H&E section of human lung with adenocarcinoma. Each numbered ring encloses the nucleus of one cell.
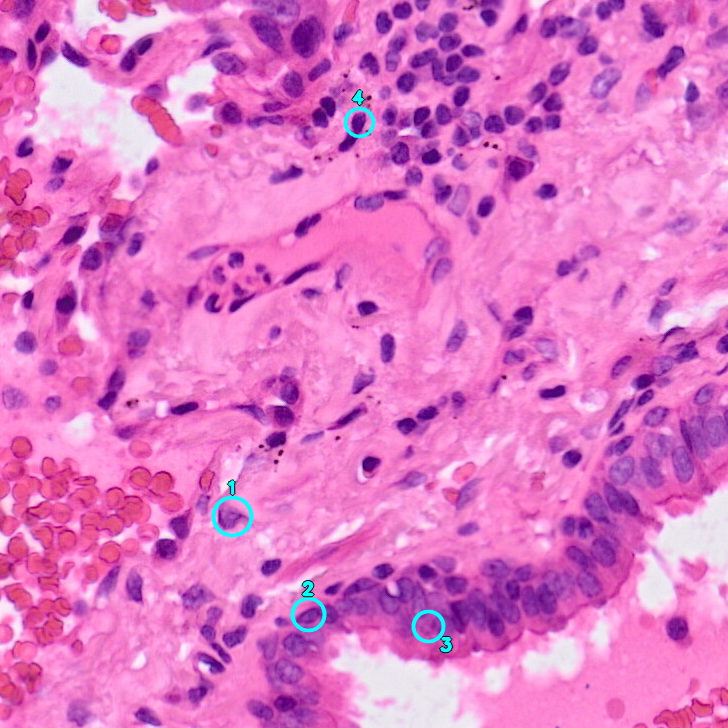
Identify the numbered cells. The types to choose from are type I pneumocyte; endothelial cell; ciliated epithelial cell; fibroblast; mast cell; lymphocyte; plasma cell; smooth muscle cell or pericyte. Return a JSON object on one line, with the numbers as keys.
{"1": "fibroblast", "2": "ciliated epithelial cell", "3": "ciliated epithelial cell", "4": "lymphocyte"}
